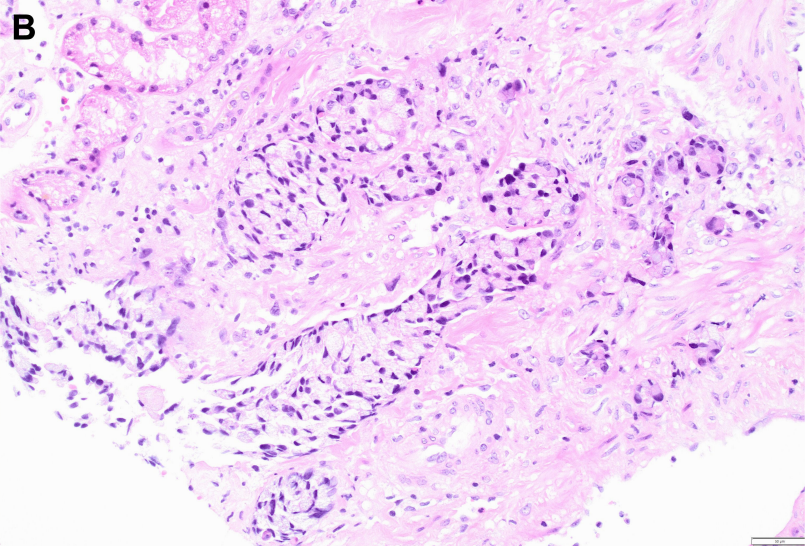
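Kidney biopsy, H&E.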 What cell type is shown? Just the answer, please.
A: signet ring tumor cells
